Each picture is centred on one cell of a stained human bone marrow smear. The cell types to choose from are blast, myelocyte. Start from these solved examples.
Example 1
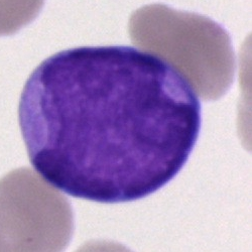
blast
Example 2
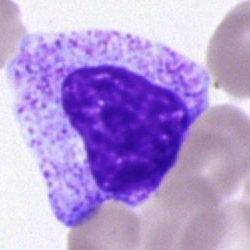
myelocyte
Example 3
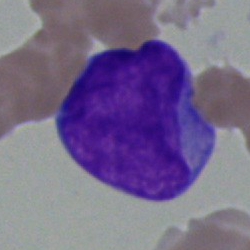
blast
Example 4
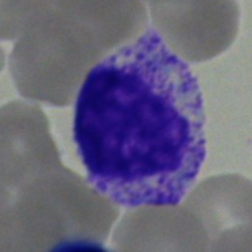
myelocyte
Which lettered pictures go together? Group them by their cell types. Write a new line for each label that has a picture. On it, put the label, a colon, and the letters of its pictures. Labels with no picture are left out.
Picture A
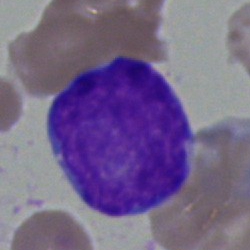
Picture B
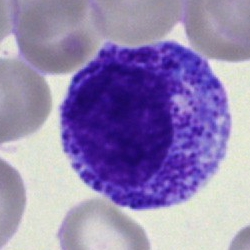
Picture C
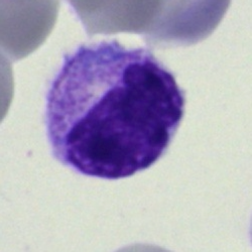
blast: A
myelocyte: B, C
